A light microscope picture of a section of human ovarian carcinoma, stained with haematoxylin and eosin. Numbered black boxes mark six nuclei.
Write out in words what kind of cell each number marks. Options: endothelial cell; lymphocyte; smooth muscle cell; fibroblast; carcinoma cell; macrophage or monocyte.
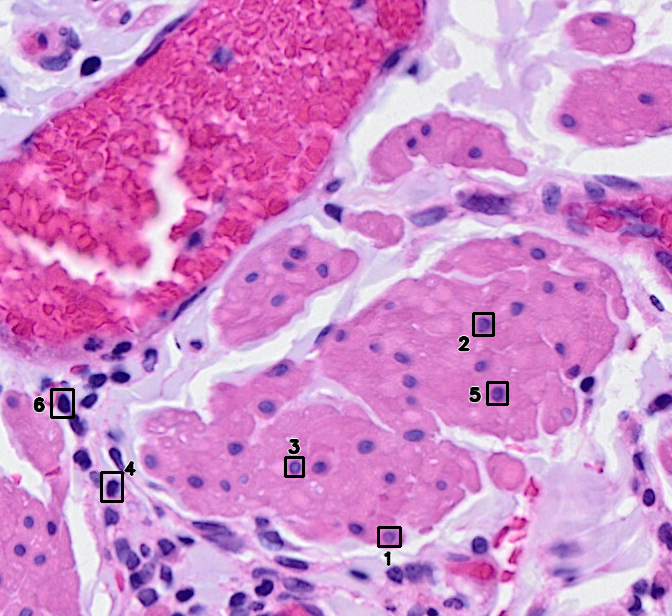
Cells 1, 2, 3 and 5 are smooth muscle cells. Cells 4 and 6 are lymphocytes.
